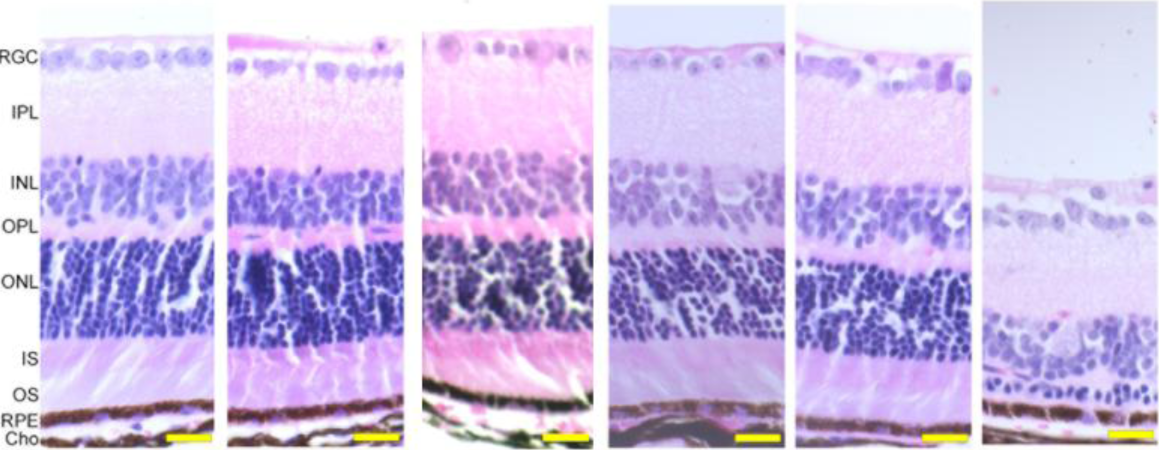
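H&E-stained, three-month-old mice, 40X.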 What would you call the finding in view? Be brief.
Photoreceptor cell degeneration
